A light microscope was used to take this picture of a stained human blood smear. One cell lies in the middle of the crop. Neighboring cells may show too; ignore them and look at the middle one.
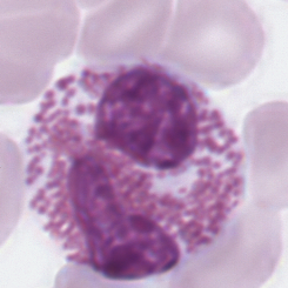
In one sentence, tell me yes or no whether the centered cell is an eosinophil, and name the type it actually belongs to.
Yes, the middle cell here is an eosinophil.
